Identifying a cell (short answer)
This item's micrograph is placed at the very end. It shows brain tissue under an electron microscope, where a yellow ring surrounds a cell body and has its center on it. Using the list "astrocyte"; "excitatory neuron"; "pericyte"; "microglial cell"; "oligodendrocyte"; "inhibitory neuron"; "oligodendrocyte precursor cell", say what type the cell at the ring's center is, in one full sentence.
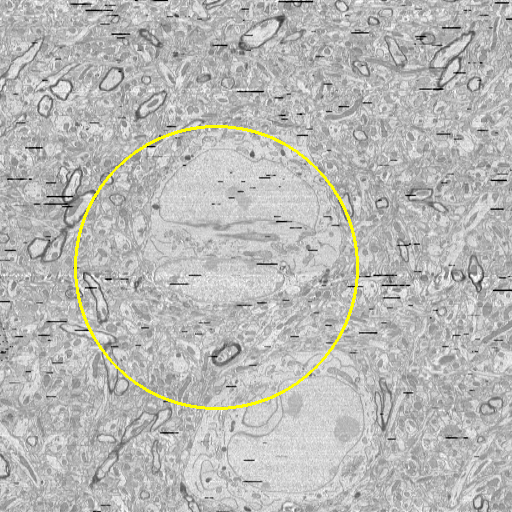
This picture shows an oligodendrocyte precursor cell at the center of the yellow ring drawn on it.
